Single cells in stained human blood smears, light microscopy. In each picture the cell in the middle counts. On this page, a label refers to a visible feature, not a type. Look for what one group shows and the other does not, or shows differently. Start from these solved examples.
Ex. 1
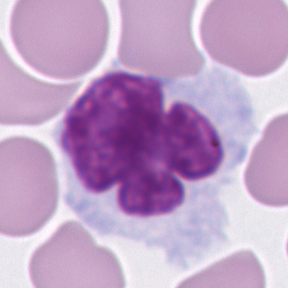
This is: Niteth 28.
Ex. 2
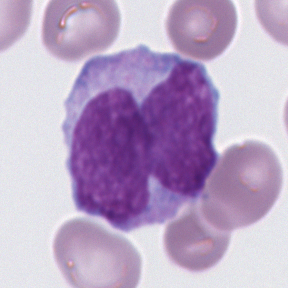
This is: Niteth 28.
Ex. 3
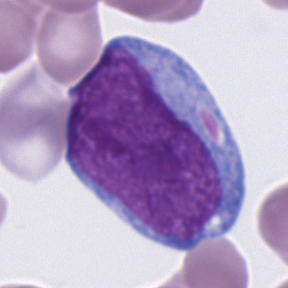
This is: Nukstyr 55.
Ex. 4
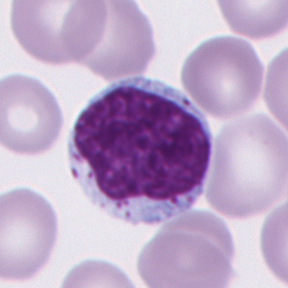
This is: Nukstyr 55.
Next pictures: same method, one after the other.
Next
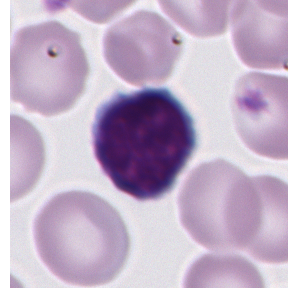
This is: Nukstyr 55.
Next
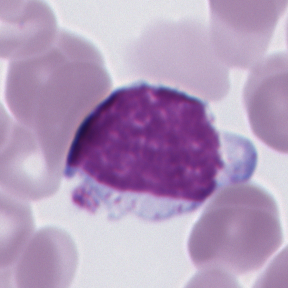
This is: Nukstyr 55.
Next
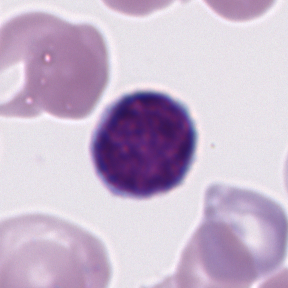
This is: Nukstyr 55.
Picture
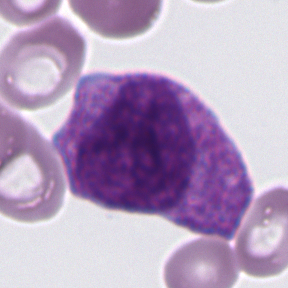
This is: Nukstyr 55.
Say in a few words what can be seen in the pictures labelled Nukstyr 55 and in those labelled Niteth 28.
Nukstyr 55: single compact nucleus; Niteth 28: lobed nucleus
